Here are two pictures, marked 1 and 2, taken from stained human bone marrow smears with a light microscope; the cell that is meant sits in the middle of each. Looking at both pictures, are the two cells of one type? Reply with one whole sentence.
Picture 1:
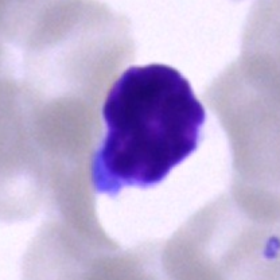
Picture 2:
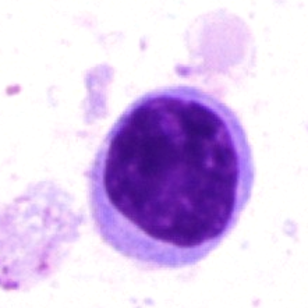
Yes, both cells are lymphocytes.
